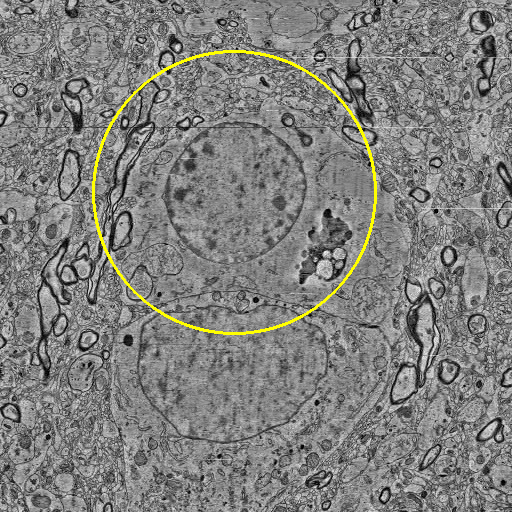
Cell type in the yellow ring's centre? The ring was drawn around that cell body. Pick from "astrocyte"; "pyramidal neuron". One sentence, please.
The ringed cell body is that of an astrocyte.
